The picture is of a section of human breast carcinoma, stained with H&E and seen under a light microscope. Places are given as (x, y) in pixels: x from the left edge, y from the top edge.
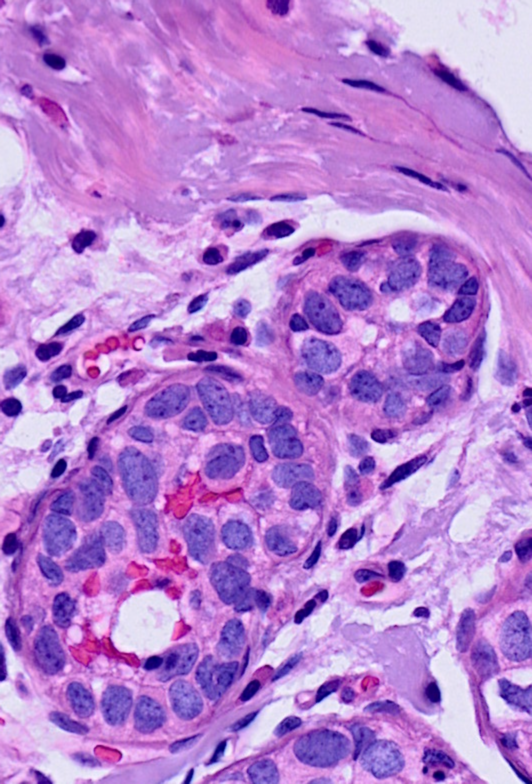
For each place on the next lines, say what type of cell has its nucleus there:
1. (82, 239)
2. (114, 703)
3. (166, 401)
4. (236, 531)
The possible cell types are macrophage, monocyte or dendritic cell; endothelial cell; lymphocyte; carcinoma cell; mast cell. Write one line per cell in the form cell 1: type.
cell 1: macrophage, monocyte or dendritic cell
cell 2: carcinoma cell
cell 3: carcinoma cell
cell 4: carcinoma cell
